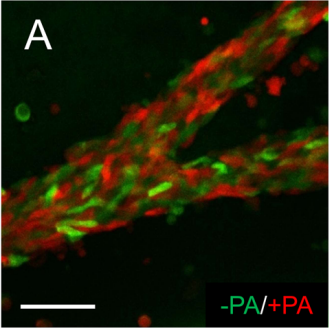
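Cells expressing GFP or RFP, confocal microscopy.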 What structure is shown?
streams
